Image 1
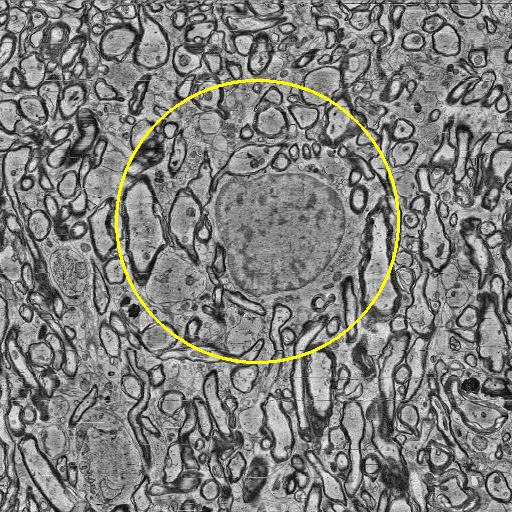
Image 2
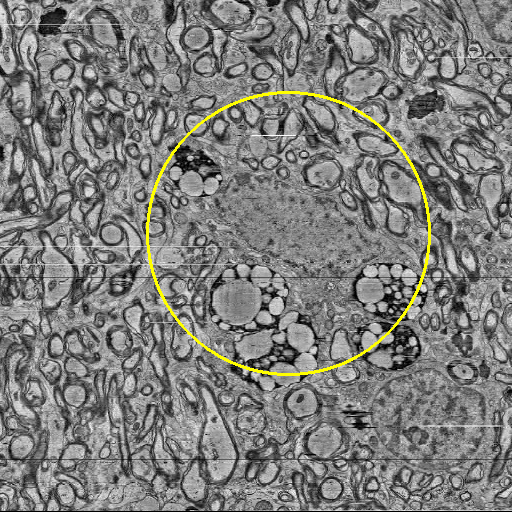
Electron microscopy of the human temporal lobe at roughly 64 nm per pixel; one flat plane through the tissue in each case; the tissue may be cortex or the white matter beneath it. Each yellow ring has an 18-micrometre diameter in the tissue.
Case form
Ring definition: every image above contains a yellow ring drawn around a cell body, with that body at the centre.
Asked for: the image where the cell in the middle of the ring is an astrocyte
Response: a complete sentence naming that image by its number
Image 2 is the one.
